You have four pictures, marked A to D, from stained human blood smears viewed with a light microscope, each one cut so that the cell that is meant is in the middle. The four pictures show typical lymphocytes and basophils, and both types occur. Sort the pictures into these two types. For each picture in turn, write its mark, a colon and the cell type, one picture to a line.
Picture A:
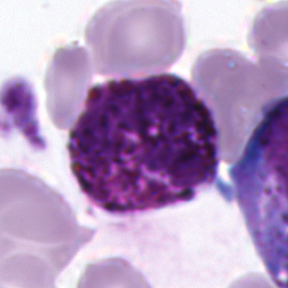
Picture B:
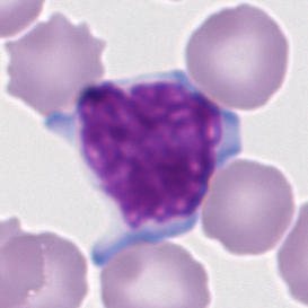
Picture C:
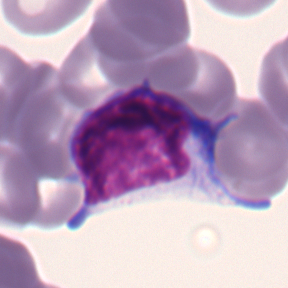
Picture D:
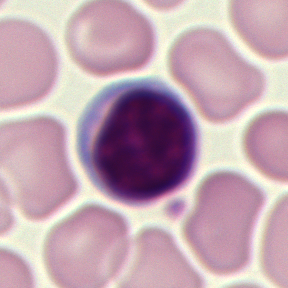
A: basophil
B: typical lymphocyte
C: typical lymphocyte
D: typical lymphocyte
